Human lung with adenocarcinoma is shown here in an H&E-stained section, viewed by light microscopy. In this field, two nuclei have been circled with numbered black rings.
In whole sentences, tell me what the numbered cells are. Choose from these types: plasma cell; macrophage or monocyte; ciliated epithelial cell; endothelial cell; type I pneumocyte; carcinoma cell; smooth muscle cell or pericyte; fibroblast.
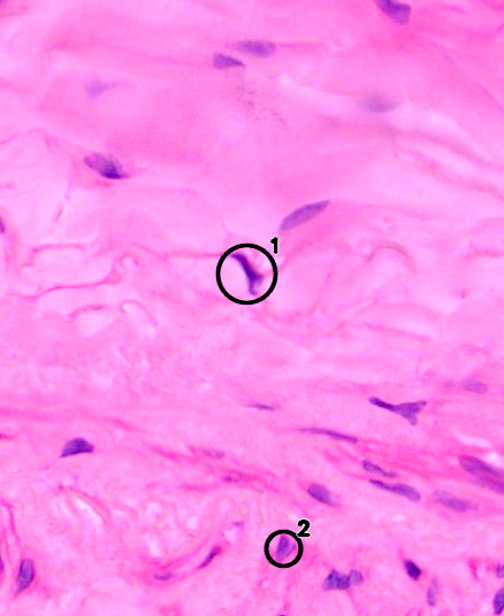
Cell 1 is a fibroblast and cell 2 is a smooth muscle cell or pericyte.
